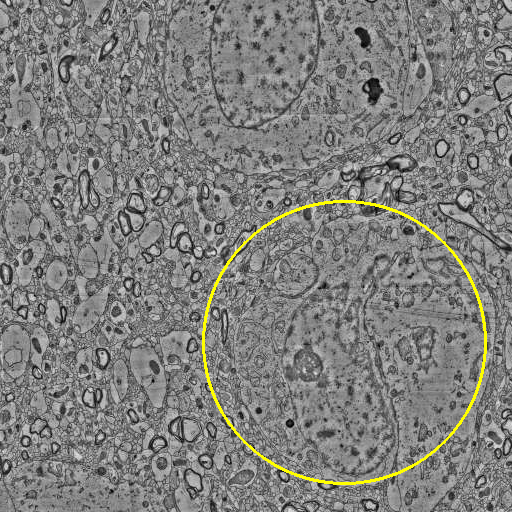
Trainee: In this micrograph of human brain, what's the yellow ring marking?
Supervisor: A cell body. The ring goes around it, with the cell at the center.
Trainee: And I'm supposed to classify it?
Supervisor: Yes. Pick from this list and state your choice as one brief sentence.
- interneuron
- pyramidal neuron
The cell at the ring's center is an interneuron.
